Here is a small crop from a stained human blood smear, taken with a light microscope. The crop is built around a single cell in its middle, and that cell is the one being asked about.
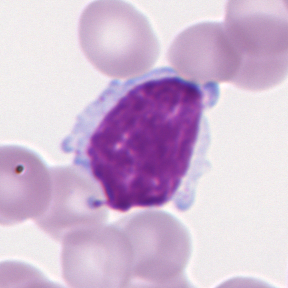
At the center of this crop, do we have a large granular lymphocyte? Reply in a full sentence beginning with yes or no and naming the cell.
Yes, the cell at the midpoint of the crop is a large granular lymphocyte.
